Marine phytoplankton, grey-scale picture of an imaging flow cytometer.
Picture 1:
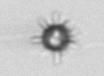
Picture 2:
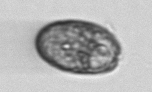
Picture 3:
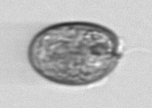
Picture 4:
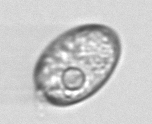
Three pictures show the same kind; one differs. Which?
Picture 1: Rhabdosphaera, while the others are Prorocentrum.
